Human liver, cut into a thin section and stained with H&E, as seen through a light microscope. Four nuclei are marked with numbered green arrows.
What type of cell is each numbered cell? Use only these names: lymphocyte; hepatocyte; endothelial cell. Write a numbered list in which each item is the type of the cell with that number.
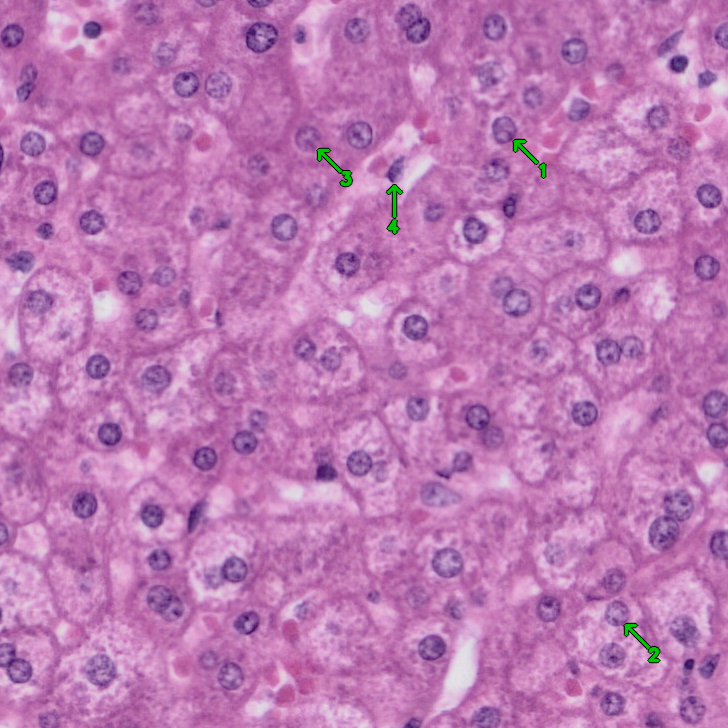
1. hepatocyte
2. hepatocyte
3. hepatocyte
4. endothelial cell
